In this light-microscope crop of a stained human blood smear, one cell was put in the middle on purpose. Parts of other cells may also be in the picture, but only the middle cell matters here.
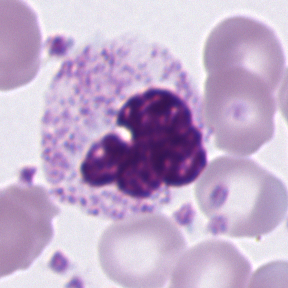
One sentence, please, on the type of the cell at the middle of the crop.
In the central position of this crop, the cell is a segmented neutrophil.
